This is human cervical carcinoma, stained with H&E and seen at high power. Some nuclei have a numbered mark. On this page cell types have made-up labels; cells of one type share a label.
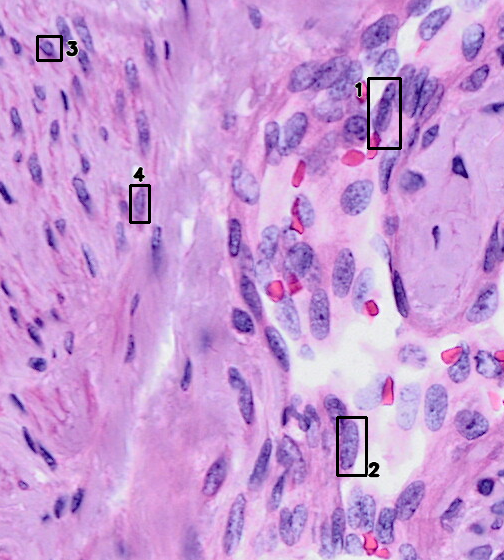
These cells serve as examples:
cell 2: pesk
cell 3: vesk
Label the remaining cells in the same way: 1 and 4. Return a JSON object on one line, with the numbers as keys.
{"1": "pesk", "4": "vesk"}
